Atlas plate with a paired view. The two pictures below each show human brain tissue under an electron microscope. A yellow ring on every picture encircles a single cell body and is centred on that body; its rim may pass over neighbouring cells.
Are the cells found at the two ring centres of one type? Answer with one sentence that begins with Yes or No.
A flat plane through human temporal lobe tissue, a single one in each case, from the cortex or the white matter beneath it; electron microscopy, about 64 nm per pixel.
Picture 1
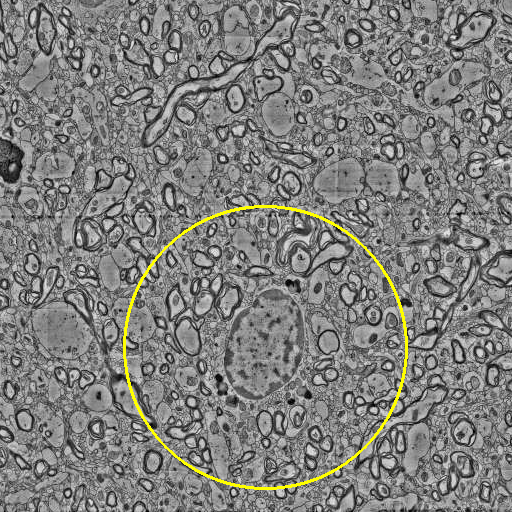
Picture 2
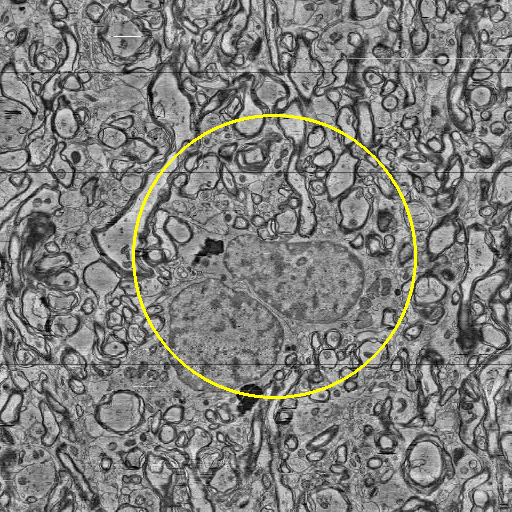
No, the two cells lying at the centres of the rings are of two types.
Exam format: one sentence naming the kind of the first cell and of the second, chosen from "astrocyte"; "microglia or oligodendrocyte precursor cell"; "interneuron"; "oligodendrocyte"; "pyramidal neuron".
The first picture's cell is a microglial cell or oligodendrocyte precursor cell, and the second picture's cell is an oligodendrocyte.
